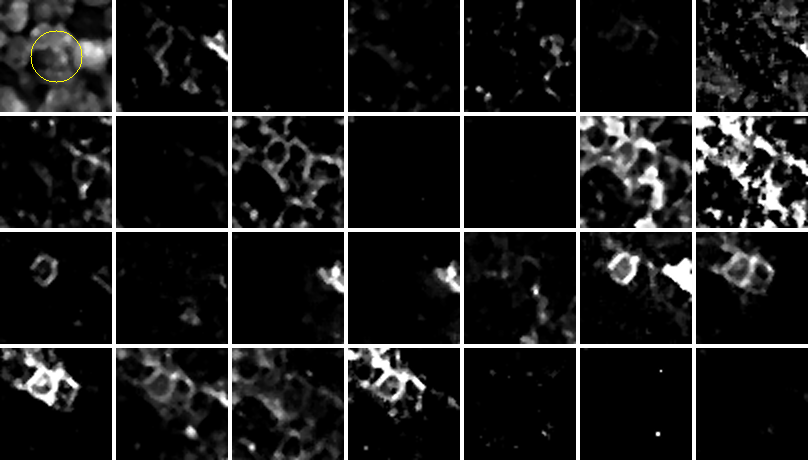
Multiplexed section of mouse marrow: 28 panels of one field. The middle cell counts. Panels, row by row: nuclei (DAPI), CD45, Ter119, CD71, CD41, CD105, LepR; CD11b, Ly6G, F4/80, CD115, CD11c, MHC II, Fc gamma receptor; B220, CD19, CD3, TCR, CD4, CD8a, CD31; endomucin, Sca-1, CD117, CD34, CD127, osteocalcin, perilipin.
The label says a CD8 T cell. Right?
Wrong: this is a capillary endothelial cell.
